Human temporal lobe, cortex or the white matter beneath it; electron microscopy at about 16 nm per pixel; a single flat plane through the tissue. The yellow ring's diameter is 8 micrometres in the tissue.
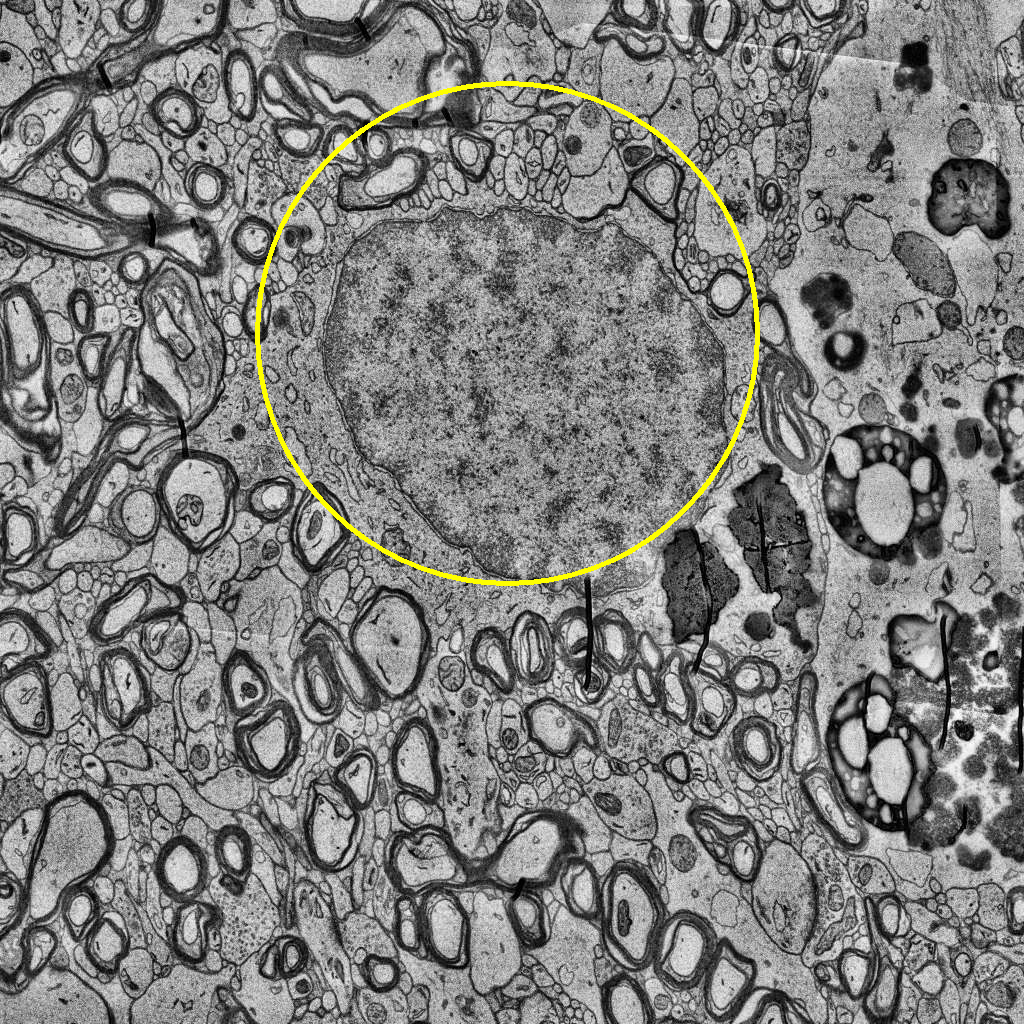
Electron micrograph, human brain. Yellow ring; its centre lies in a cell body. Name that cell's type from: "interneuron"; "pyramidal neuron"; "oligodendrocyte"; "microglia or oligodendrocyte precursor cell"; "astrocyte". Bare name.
oligodendrocyte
